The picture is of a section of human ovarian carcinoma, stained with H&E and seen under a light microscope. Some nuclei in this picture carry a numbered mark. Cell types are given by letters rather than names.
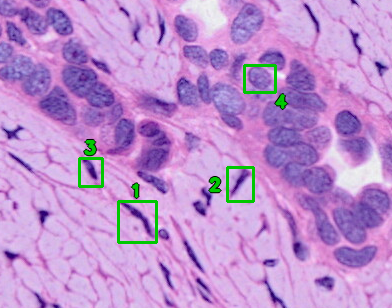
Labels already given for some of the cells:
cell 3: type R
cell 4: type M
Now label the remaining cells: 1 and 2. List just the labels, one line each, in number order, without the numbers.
type R
type R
